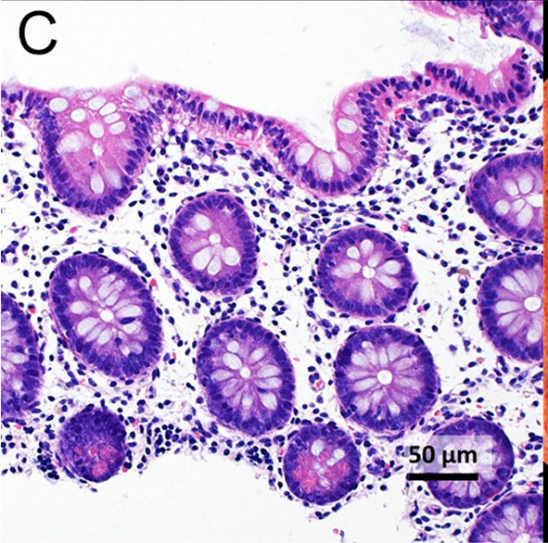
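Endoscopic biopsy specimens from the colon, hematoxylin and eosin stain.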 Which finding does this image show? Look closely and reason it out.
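Paneth cell metaplasia. Crypts at the bottom of the field contain cells with bright red-pink granular cytoplasm. These granular cells lie at the base of crypts that are otherwise lined by goblet cells.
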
